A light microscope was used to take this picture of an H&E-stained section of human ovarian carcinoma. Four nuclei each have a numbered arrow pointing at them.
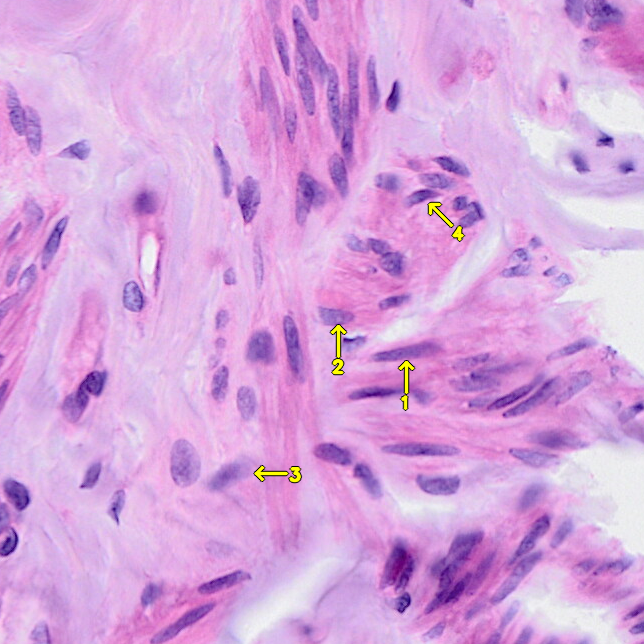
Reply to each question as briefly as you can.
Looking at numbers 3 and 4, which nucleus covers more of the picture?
3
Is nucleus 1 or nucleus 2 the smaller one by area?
2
